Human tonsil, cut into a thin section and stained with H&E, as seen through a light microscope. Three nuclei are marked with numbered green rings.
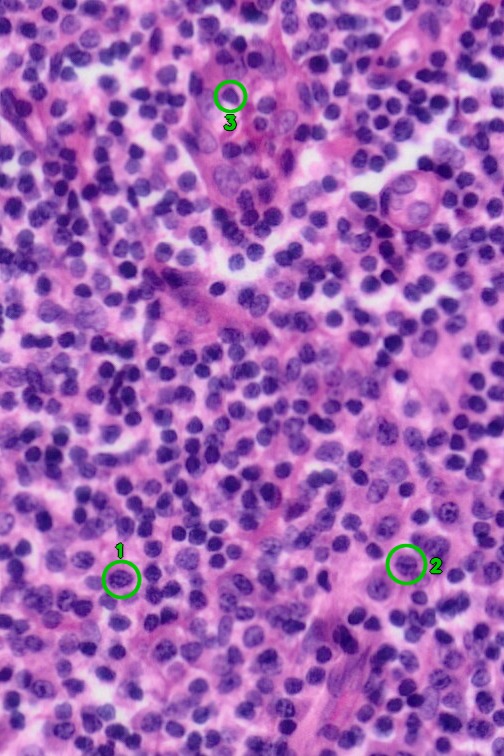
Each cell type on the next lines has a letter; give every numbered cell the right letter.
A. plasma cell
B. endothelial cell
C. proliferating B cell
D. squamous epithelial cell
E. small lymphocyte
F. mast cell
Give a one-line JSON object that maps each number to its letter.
{"1": "A", "2": "A", "3": "B"}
